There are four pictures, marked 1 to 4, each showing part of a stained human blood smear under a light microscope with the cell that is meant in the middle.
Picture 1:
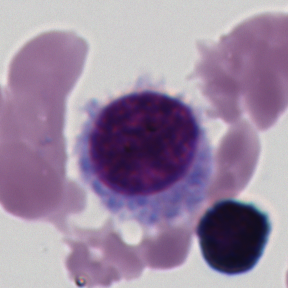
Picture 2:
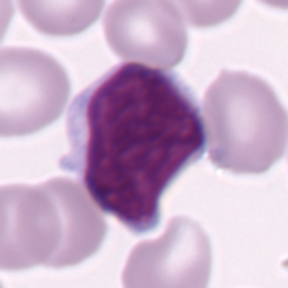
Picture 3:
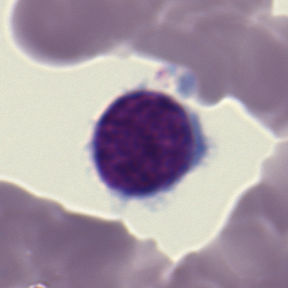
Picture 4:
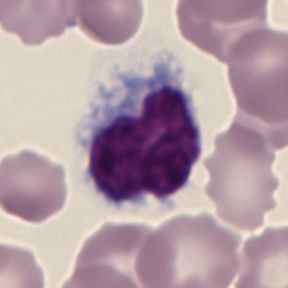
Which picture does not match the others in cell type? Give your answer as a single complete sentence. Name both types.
The others show hairy cells, but picture 2 shows a typical lymphocyte.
